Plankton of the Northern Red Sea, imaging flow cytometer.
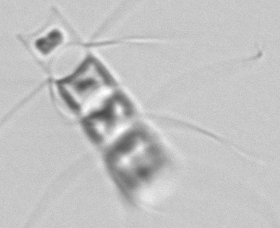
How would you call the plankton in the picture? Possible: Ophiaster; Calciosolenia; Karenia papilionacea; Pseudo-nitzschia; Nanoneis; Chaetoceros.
I would call it Chaetoceros.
